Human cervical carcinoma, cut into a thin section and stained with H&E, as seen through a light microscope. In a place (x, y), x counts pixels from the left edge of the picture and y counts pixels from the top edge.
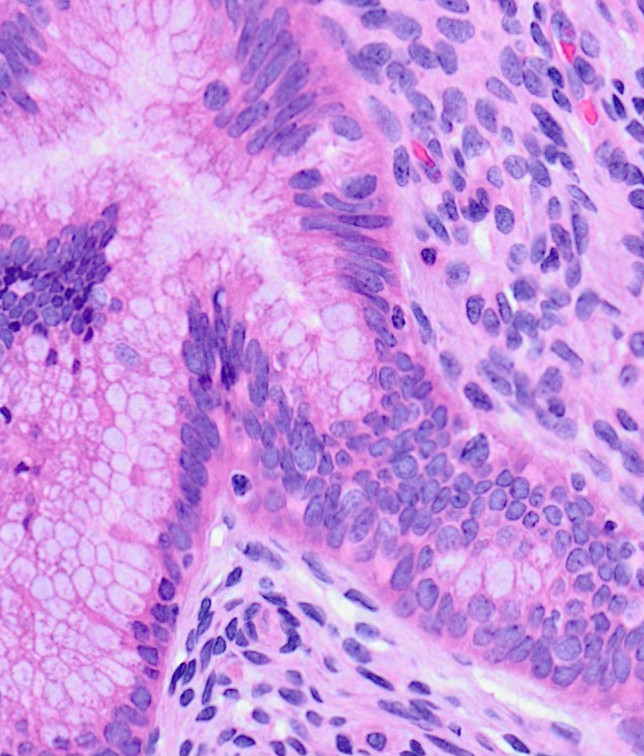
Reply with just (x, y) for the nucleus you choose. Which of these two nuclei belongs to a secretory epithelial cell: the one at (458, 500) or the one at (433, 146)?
(458, 500)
